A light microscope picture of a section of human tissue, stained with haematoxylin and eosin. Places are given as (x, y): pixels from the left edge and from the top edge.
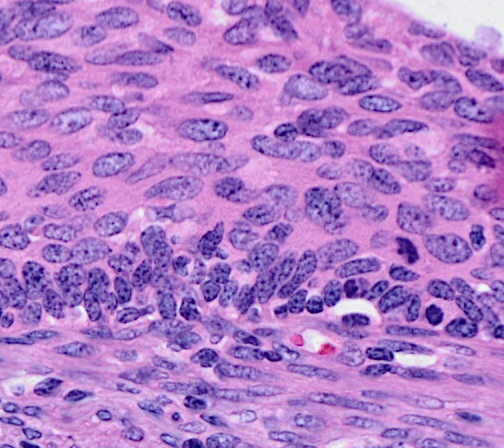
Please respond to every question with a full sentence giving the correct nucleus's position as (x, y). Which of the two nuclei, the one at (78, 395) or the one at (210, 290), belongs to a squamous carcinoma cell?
The nucleus that belongs to a squamous carcinoma cell sits at (210, 290).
